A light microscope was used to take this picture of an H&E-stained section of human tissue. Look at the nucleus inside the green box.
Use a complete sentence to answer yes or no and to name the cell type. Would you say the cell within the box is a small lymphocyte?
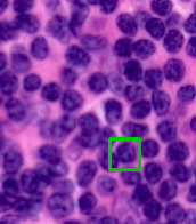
Yes, within this tissue section, the cell within the box is a small lymphocyte.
